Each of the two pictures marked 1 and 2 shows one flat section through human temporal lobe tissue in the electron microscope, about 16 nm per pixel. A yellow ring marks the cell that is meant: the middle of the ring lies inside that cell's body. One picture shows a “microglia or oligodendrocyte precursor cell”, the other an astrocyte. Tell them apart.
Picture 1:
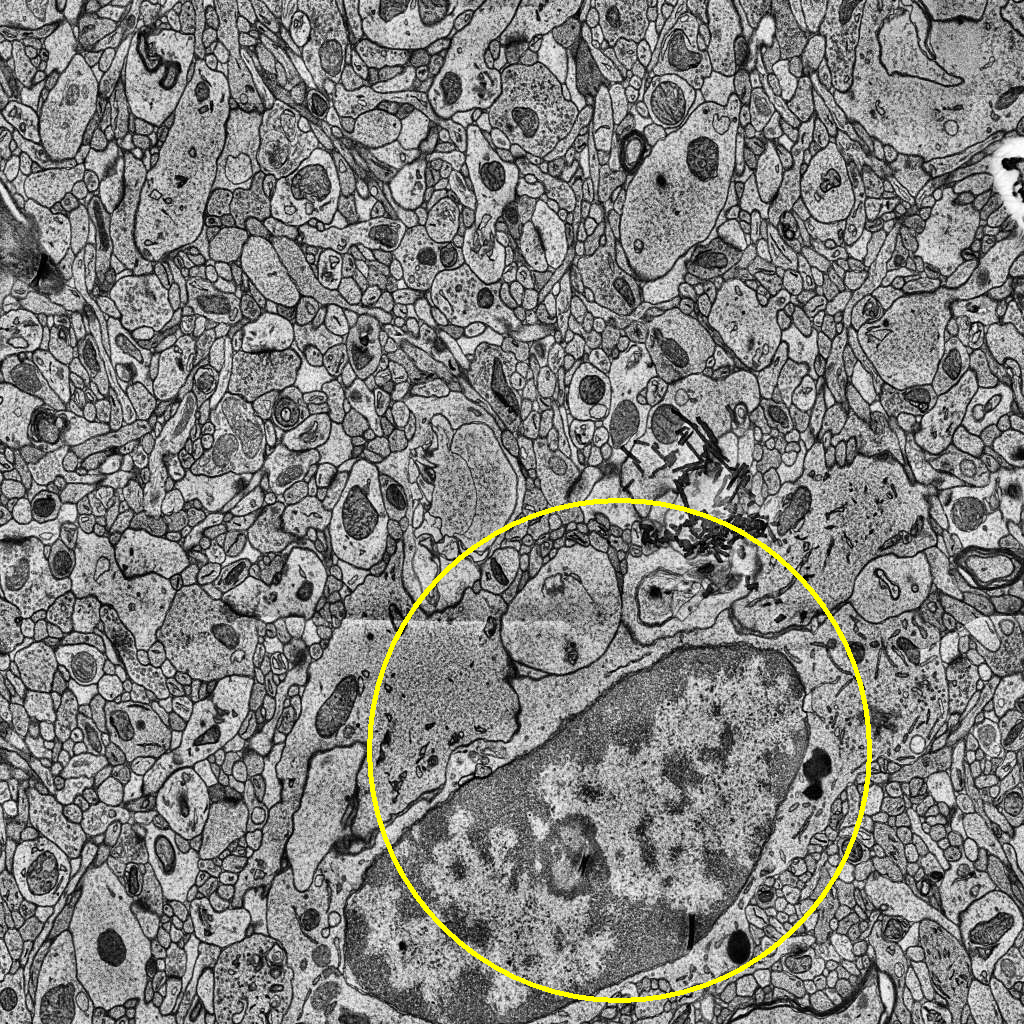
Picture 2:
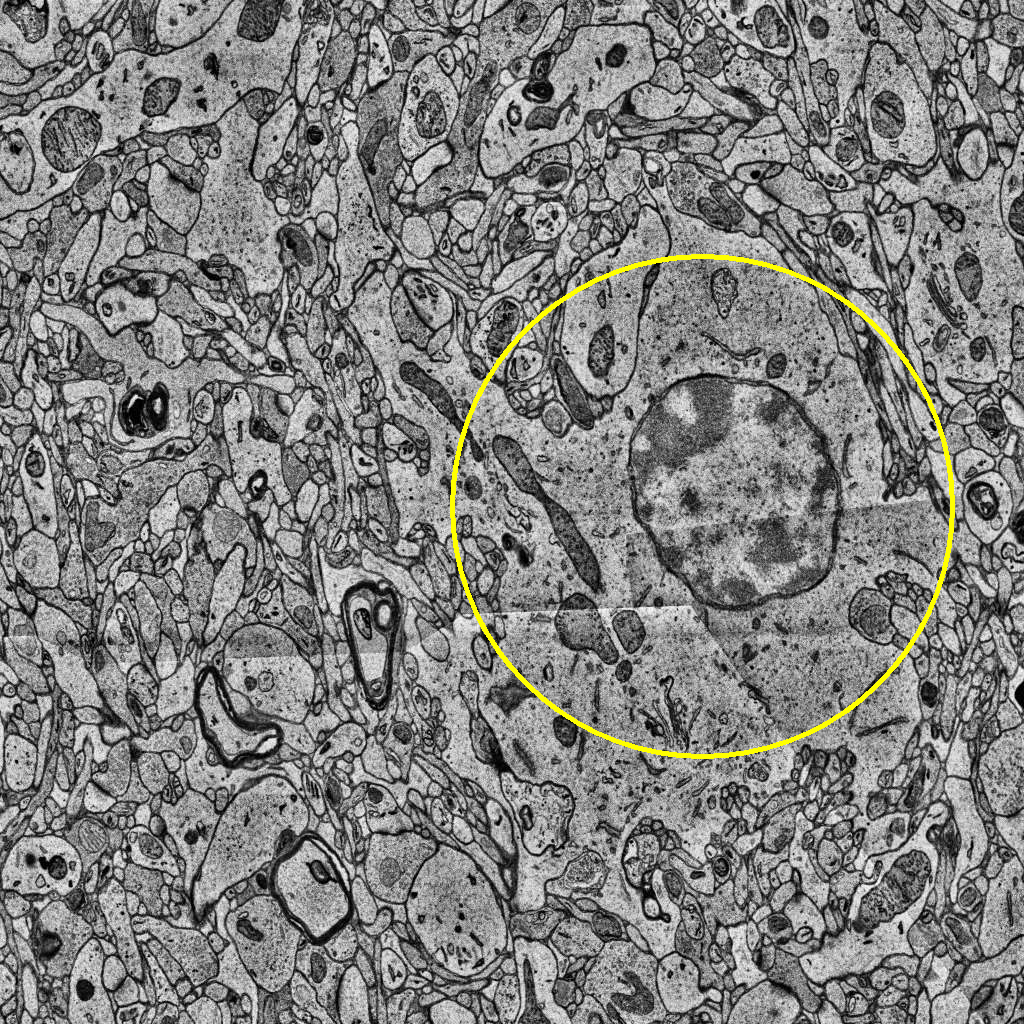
It is picture 1 that shows a “microglia or oligodendrocyte precursor cell”, and picture 2 that shows an astrocyte.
